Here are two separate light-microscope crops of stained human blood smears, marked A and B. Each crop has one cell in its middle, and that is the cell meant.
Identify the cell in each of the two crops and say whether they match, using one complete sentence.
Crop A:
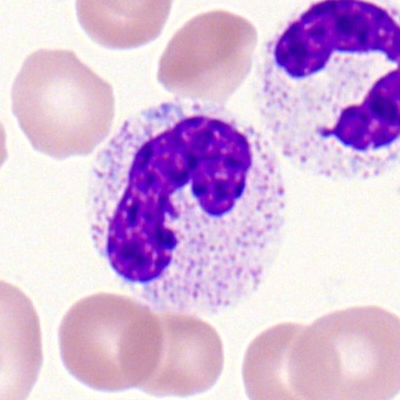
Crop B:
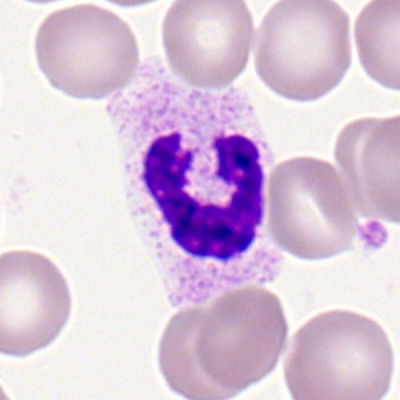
Yes, with regard to both crops, the central cells are band neutrophils.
